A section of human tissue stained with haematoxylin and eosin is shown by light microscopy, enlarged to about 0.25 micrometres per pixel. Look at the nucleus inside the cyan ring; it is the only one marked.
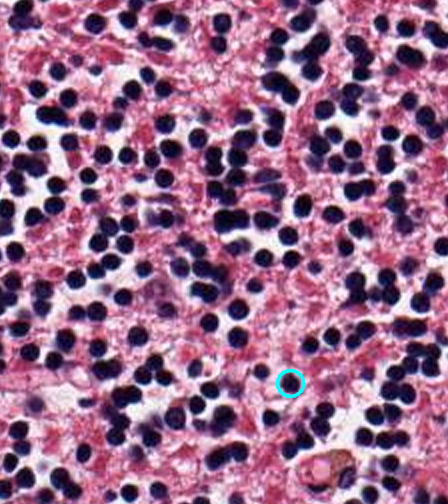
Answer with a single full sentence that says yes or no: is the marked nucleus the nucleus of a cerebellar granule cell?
Yes, belonging to a cerebellar granule cell is the marked nucleus.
